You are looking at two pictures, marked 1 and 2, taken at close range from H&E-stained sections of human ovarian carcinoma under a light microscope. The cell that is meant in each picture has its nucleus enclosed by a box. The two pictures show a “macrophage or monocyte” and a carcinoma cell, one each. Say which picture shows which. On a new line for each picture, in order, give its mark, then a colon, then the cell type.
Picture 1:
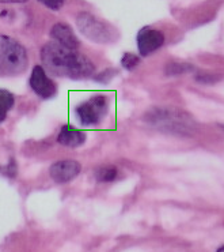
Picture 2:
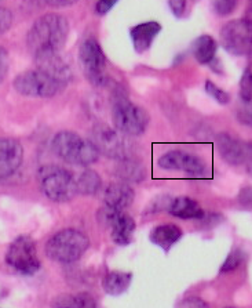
1: carcinoma cell
2: macrophage or monocyte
